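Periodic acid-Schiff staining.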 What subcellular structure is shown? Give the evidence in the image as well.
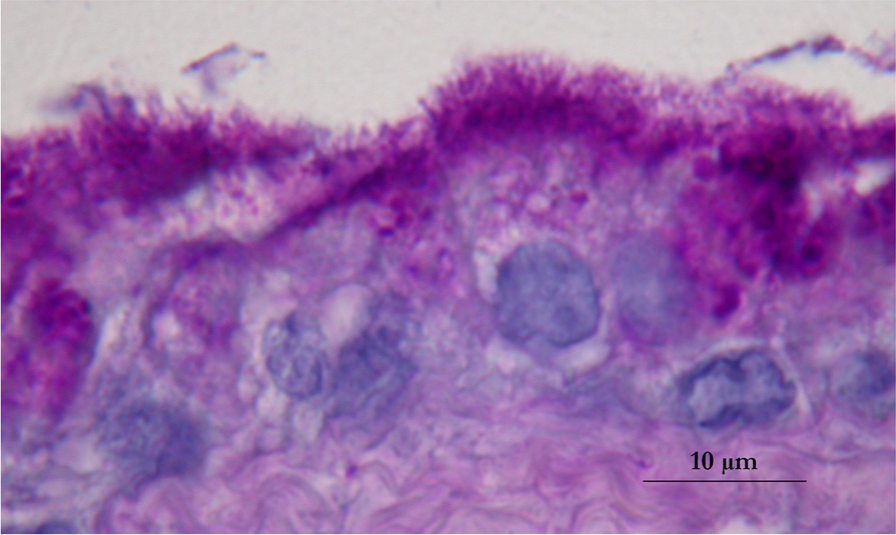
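Filiform apical cytoplasmic extensions. A dense fringe of fine hair-like projections lines the free surface of the cells. The projections are stained deep magenta.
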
